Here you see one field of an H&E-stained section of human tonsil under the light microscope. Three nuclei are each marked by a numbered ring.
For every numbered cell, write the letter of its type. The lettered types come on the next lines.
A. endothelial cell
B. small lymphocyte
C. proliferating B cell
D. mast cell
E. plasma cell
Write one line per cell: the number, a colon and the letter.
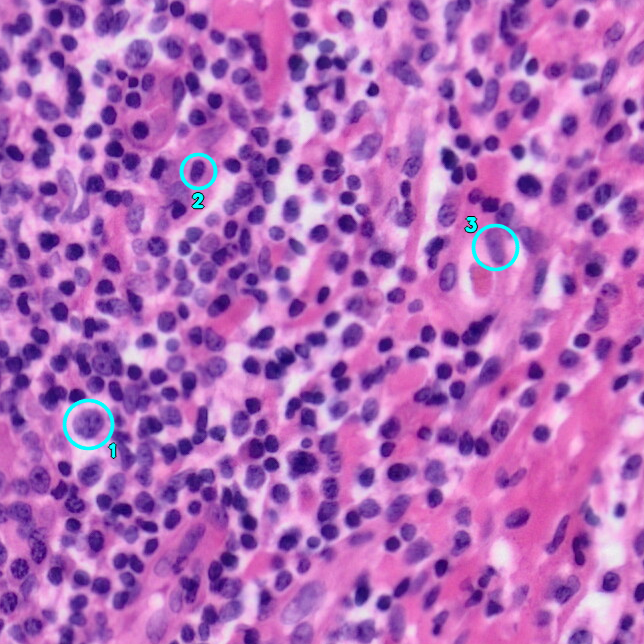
1: C
2: A
3: A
